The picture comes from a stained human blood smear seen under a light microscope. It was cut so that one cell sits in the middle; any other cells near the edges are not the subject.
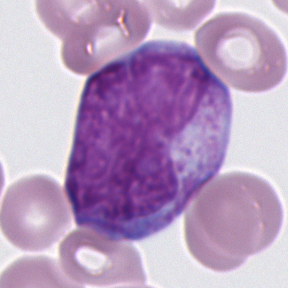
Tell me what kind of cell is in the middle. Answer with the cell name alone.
atypical promyelocyte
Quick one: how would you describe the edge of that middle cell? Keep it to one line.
Thanks for asking; the cell edge is smooth and has no projections.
